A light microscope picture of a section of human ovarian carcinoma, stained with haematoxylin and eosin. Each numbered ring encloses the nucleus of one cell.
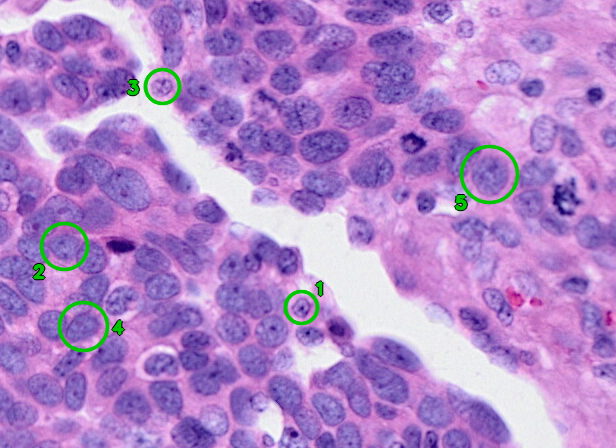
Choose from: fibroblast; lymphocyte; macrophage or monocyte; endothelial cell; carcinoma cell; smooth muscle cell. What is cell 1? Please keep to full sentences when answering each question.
The cell pointed out by number 1 is a macrophage or monocyte.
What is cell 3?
The cell referred to as 3 is a macrophage or monocyte.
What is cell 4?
The nucleus labelled 4 belongs to a carcinoma cell.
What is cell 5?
The marked cell with the number 5 is recognised as a carcinoma cell.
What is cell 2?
The correct label for cell 2 is a carcinoma cell.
